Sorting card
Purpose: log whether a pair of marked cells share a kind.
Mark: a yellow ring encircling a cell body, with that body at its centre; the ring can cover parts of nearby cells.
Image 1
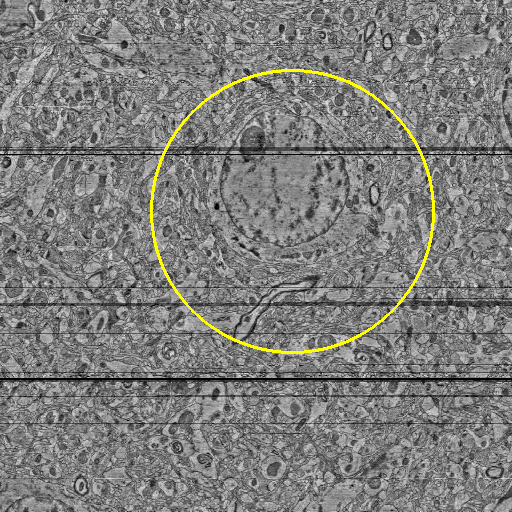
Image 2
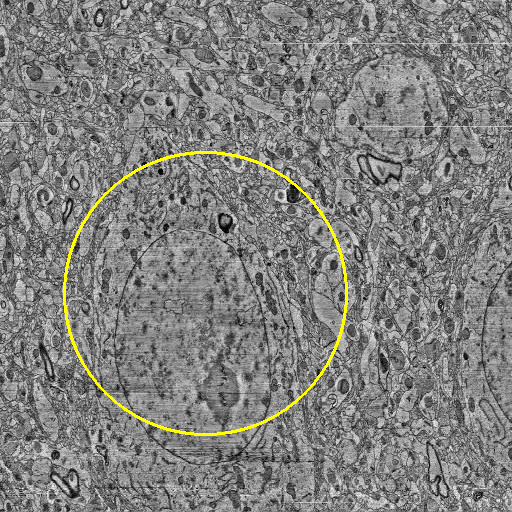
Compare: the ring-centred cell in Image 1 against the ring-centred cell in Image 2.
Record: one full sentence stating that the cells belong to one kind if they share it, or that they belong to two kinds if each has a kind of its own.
Across Images 1 and 2, the two ring-centred cells belong to one kind.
